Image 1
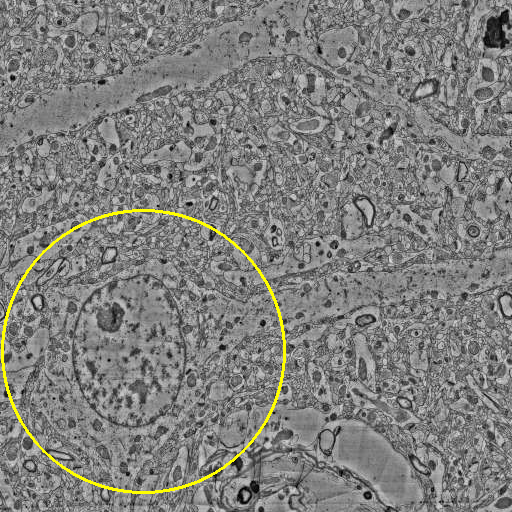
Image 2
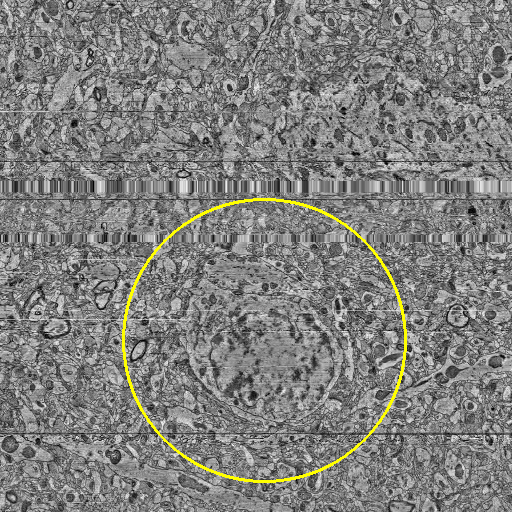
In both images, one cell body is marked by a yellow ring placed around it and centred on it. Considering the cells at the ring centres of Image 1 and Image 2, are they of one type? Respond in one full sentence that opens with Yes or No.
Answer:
No, two types apply to the ring-centred cells of Image 1 and Image 2.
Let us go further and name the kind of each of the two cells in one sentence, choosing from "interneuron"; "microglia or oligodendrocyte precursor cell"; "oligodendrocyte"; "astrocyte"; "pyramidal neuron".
The ring of the first picture is on a pyramidal neuron, the ring of the second on an interneuron.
